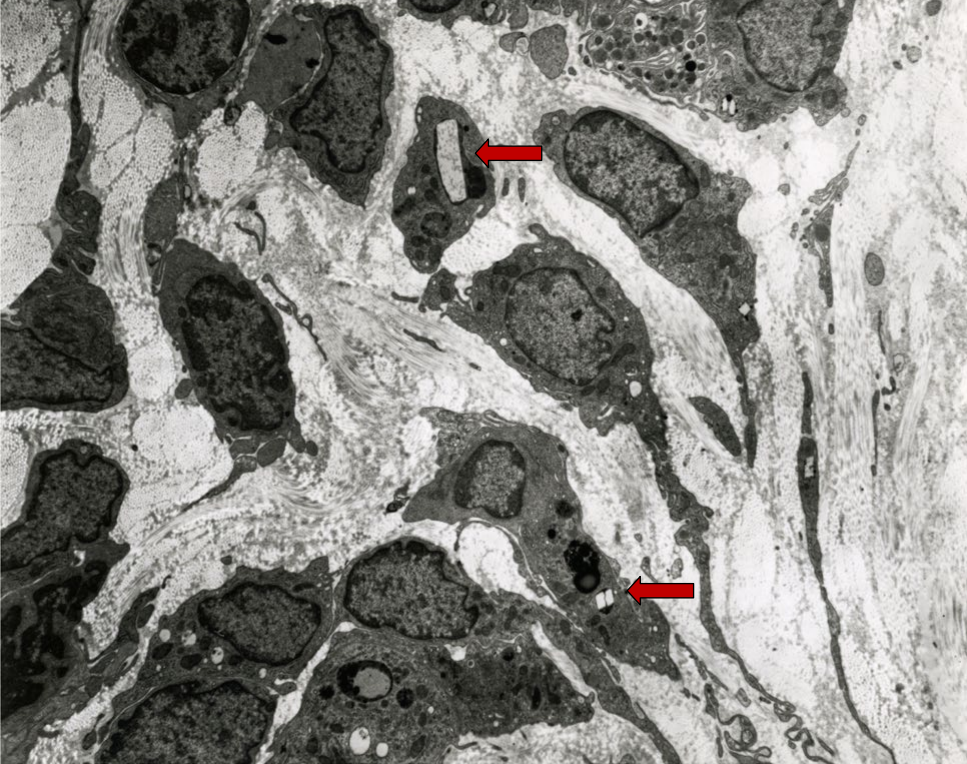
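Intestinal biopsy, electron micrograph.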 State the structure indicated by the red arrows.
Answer: Rectangular cystine crystals.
